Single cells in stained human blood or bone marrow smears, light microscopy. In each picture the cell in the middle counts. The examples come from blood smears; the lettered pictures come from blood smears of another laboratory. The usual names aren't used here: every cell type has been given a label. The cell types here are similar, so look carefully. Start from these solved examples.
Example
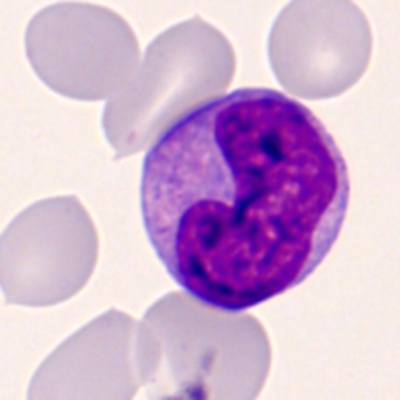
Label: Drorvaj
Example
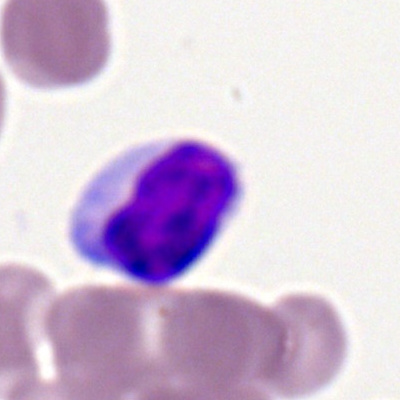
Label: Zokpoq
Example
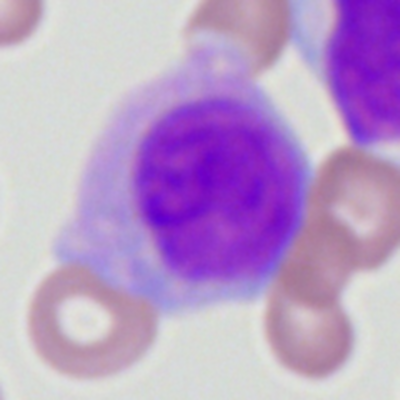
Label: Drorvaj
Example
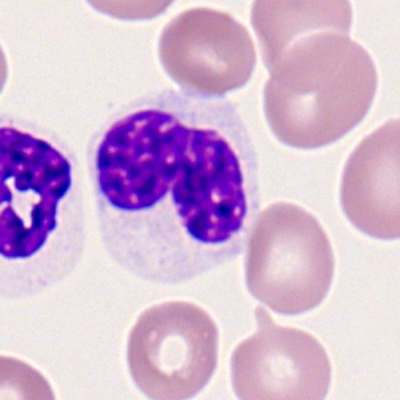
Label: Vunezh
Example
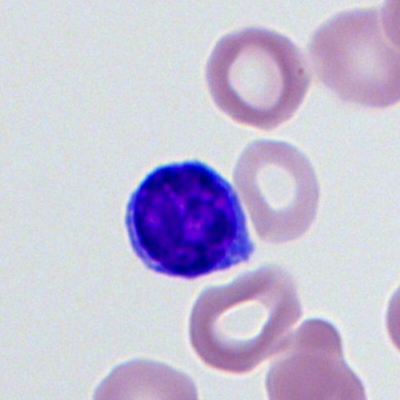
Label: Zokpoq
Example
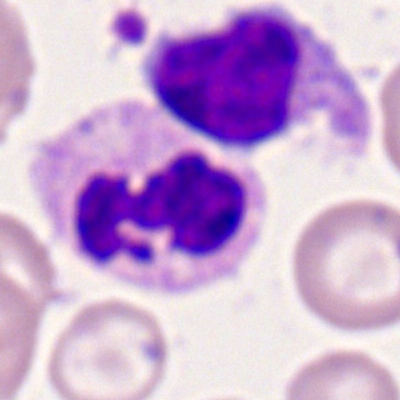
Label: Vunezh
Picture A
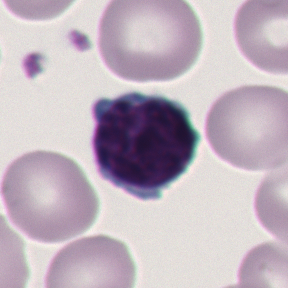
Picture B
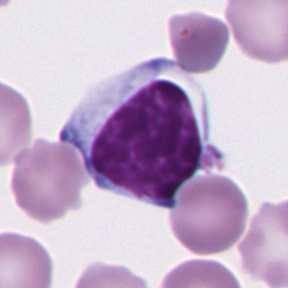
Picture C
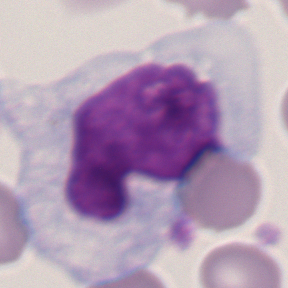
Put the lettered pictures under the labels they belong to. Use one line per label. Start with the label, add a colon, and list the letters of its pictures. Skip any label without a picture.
Drorvaj: C
Zokpoq: A, B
